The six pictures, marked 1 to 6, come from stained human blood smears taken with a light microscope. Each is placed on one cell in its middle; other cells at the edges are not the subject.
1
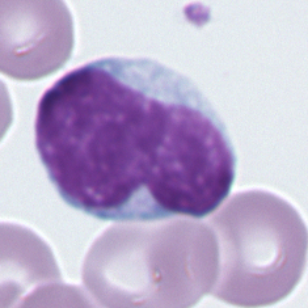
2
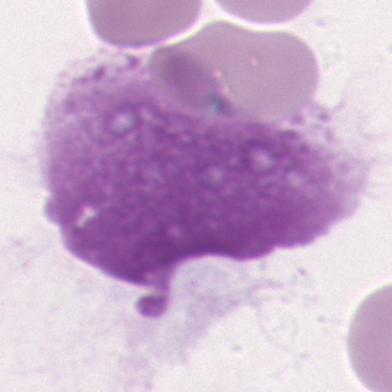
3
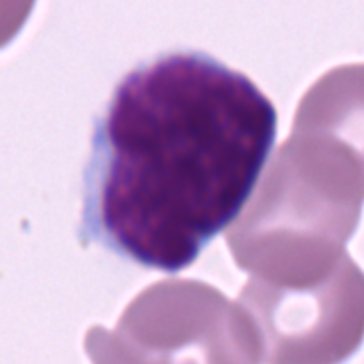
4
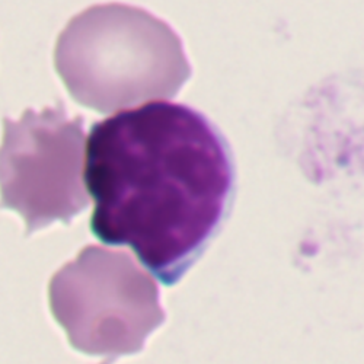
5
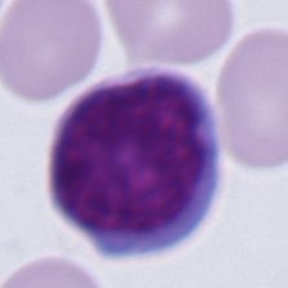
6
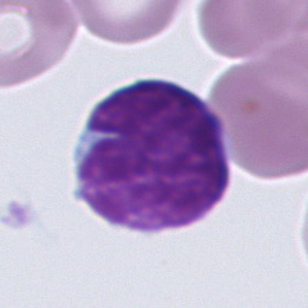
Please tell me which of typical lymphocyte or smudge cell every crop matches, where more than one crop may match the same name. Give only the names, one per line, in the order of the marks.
typical lymphocyte
smudge cell
typical lymphocyte
typical lymphocyte
typical lymphocyte
typical lymphocyte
